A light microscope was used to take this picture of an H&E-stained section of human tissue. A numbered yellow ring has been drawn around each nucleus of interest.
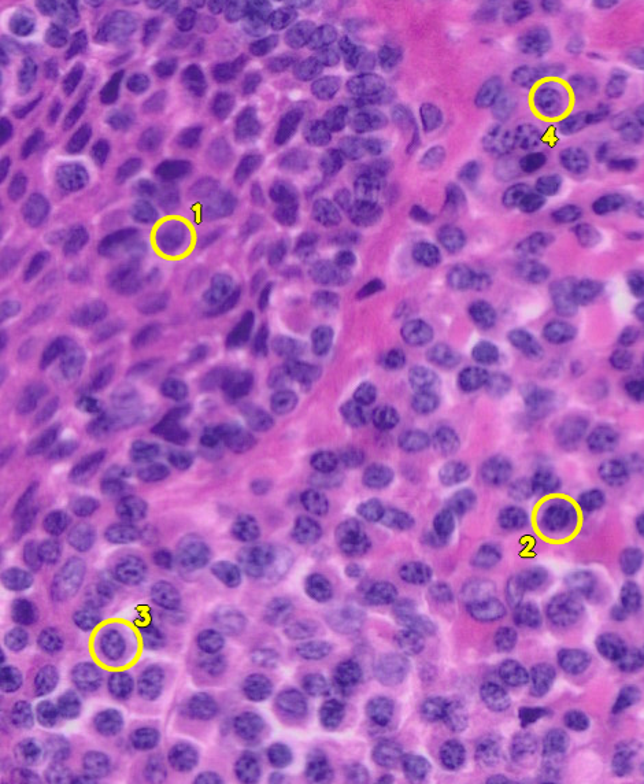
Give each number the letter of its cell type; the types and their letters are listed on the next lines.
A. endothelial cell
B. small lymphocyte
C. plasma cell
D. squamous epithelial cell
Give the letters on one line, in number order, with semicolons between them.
D; C; C; C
